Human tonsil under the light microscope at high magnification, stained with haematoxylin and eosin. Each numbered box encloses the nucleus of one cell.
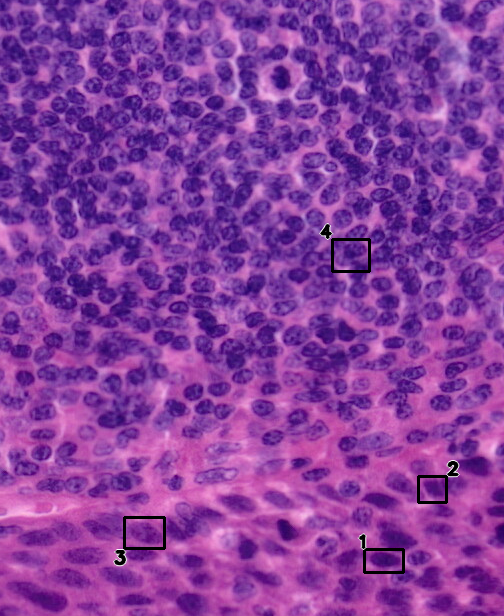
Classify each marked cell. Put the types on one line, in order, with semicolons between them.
squamous epithelial cell; squamous epithelial cell; squamous epithelial cell; small lymphocyte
